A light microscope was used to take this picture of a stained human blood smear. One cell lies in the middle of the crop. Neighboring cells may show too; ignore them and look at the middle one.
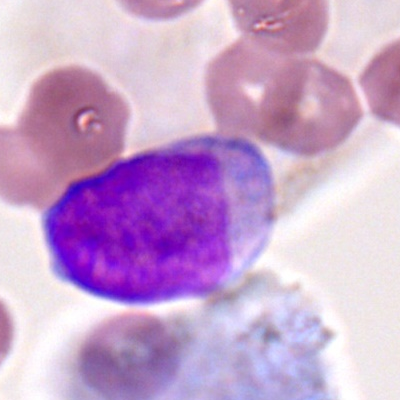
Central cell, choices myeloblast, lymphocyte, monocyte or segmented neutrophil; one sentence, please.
The cell found in the middle of this crop is a myeloblast.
